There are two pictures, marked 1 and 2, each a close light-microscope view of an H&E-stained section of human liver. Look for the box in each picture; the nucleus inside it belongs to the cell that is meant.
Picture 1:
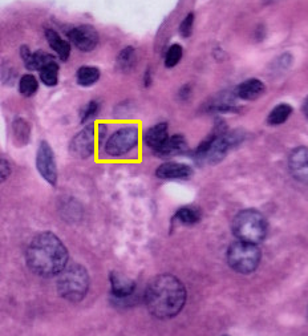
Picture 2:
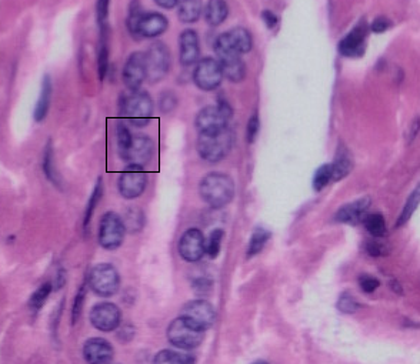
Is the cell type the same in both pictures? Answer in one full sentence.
Yes, both are cholangiocytes.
